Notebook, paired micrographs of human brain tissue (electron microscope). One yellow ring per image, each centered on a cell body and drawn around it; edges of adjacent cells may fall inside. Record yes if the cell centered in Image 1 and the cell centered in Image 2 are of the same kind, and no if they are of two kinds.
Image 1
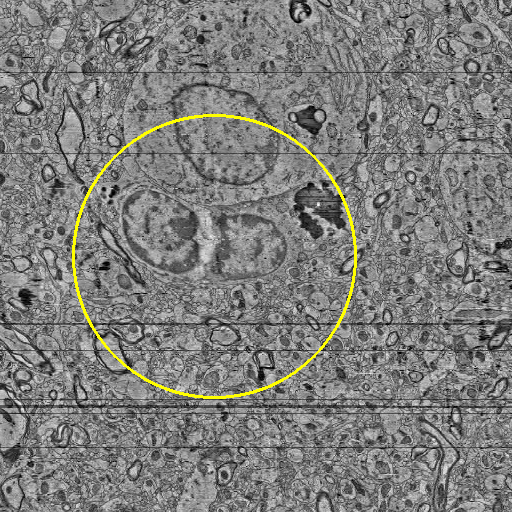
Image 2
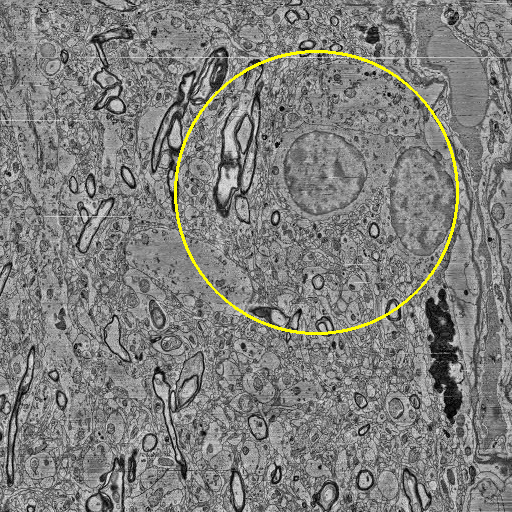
yes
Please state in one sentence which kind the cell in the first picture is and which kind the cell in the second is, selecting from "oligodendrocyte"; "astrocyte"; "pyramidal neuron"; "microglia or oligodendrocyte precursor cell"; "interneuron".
Both the first and the second picture show an oligodendrocyte in the ring.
